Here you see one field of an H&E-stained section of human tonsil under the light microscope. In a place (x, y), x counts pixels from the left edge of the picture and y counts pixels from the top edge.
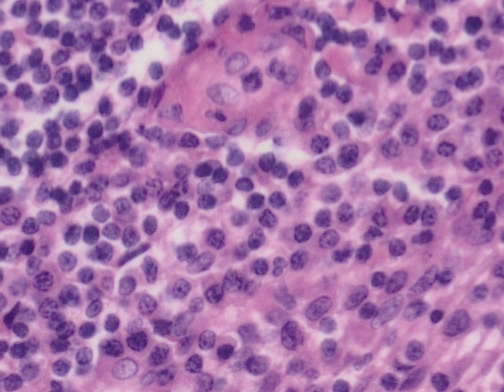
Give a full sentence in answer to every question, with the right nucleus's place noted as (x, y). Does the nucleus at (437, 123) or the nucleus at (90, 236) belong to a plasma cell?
The one belonging to a plasma cell is the nucleus at (437, 123), not the other.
